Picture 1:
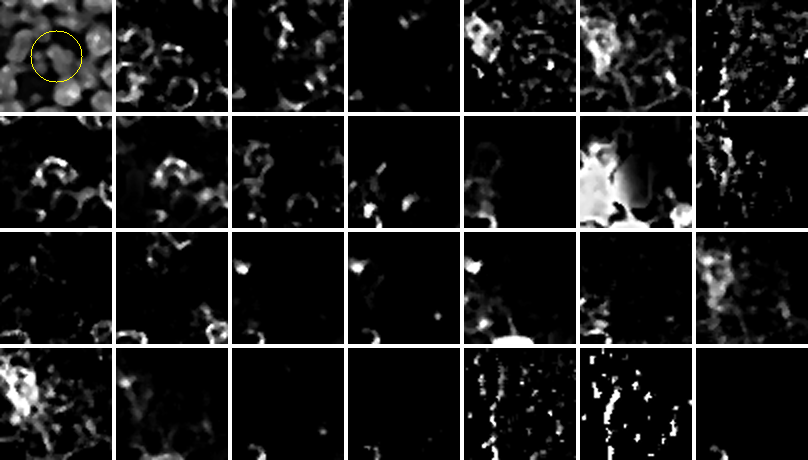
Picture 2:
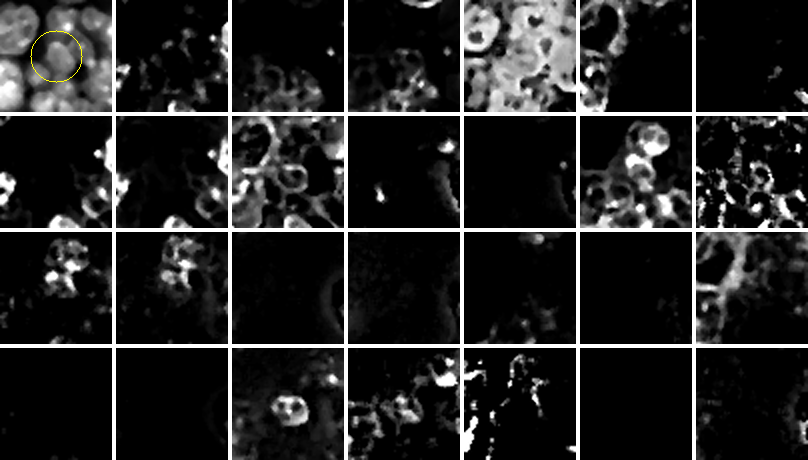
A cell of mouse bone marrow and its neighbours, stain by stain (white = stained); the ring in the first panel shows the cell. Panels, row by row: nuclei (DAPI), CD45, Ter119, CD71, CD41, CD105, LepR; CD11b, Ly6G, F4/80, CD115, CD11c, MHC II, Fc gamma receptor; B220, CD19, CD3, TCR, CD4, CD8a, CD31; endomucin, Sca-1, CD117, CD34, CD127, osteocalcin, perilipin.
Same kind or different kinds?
Different: the first is a neutrophil, the second a megakaryocyte progenitor.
